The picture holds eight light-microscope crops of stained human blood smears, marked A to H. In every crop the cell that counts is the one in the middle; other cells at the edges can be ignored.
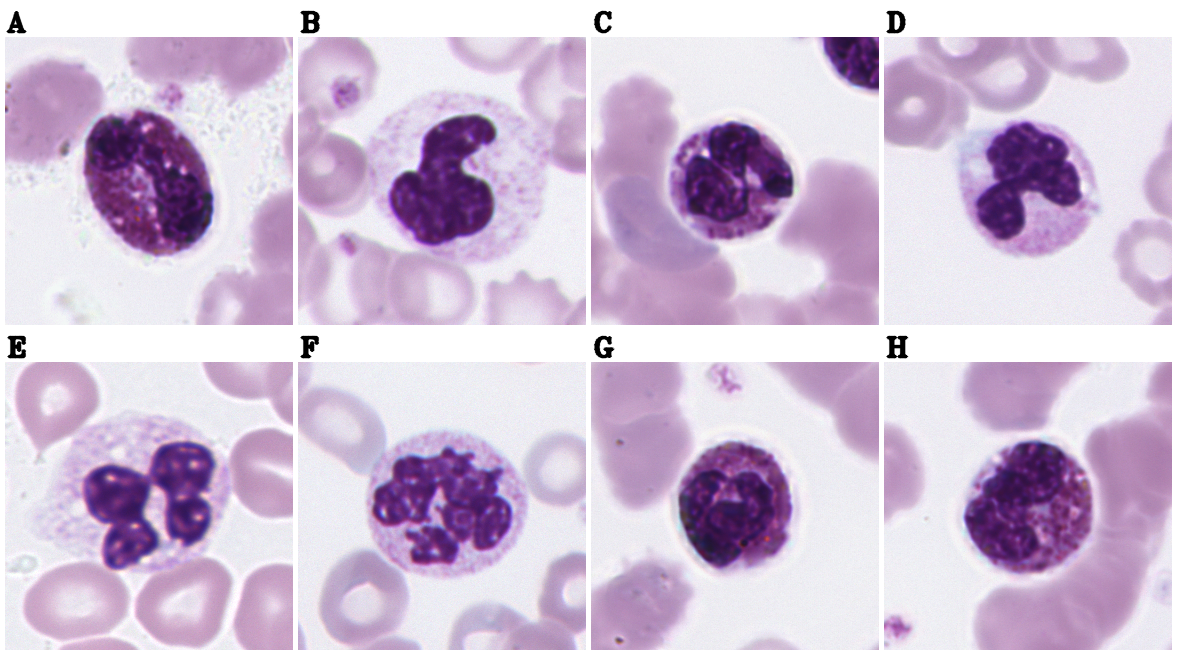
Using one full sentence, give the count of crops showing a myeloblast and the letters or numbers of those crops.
The absence of myeloblasts from all crops means the count is zero.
